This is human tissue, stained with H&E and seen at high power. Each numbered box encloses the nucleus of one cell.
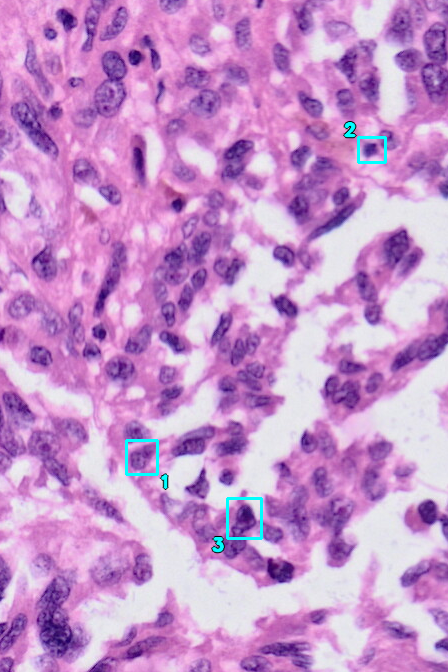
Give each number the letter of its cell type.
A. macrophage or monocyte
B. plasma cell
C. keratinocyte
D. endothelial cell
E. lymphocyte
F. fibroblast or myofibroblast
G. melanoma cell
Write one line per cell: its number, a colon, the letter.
1: G
2: E
3: G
